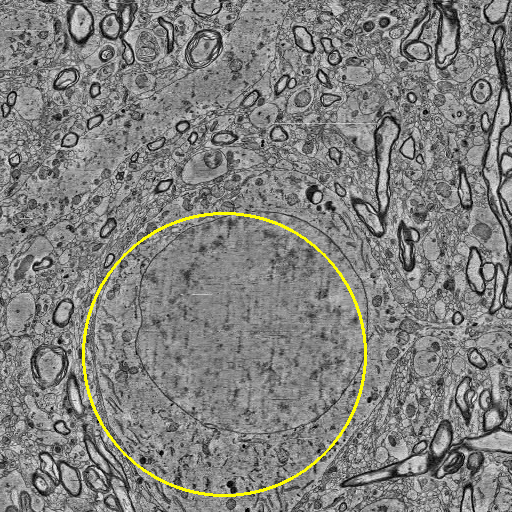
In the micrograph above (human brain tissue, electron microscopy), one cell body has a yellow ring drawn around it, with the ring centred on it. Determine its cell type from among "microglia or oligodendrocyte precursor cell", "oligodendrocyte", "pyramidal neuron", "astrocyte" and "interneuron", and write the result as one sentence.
The cell whose body is ringed is a pyramidal neuron.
